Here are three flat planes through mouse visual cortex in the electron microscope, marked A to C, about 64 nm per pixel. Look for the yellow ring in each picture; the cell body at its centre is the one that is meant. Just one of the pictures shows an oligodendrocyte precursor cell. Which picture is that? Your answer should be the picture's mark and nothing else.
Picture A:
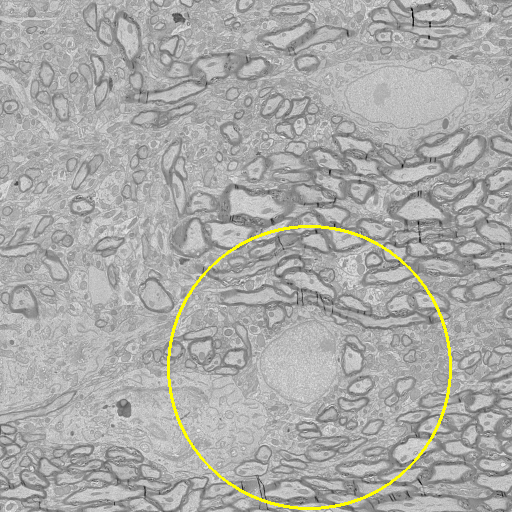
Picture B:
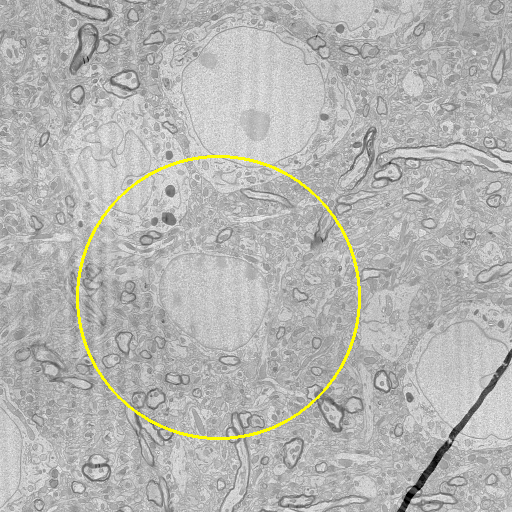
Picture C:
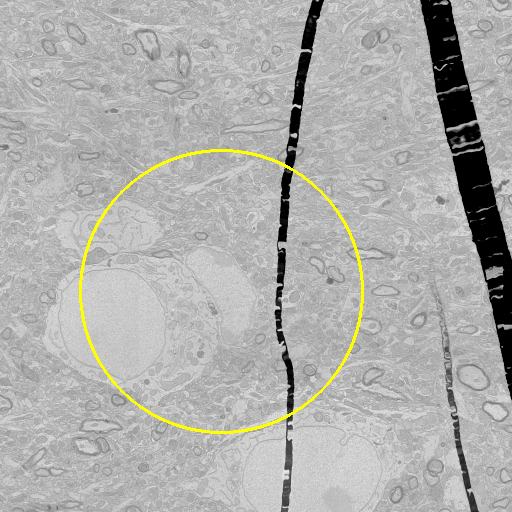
C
